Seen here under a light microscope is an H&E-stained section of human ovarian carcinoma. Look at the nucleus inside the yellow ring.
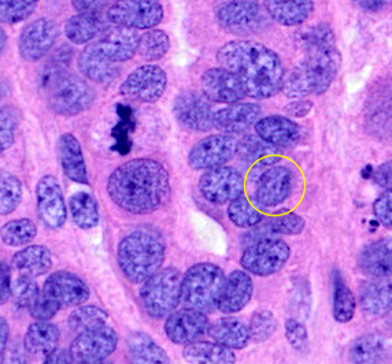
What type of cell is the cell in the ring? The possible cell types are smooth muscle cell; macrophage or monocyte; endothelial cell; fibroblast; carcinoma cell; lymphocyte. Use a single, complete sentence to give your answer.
Cytologically, the cell in the ring is to be regarded as a carcinoma cell.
